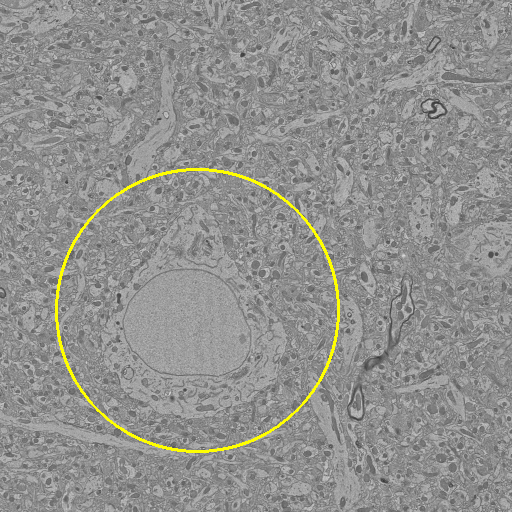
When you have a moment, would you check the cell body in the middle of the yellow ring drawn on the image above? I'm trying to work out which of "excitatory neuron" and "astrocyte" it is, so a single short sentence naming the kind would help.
This cell body belongs to an excitatory neuron.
